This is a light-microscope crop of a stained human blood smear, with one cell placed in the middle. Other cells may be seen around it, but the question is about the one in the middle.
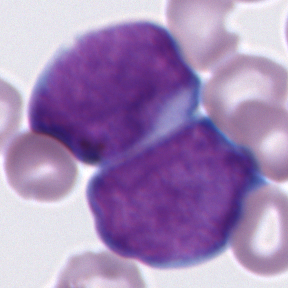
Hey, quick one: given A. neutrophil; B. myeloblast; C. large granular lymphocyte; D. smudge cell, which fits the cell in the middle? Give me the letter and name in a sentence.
In this crop the central cell is a myeloblast, which option B correctly states.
